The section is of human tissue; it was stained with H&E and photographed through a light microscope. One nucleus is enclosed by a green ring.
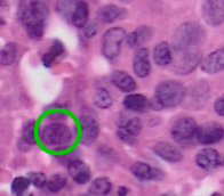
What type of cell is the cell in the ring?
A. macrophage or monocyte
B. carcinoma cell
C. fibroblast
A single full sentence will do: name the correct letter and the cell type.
The accurate option is B, with the cell in the ring being a carcinoma cell.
